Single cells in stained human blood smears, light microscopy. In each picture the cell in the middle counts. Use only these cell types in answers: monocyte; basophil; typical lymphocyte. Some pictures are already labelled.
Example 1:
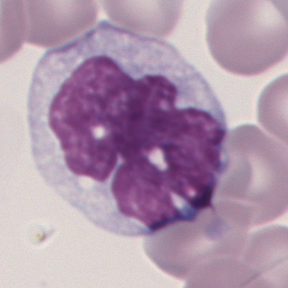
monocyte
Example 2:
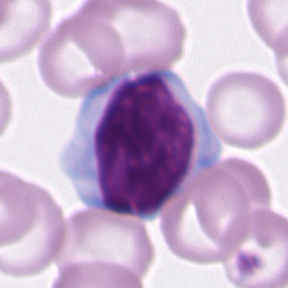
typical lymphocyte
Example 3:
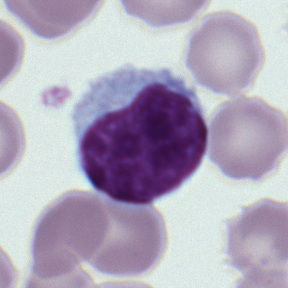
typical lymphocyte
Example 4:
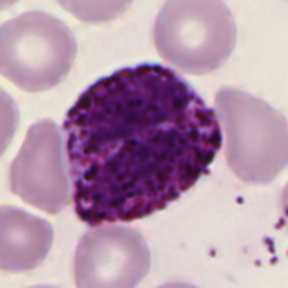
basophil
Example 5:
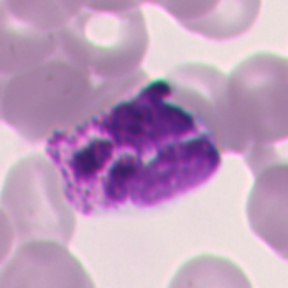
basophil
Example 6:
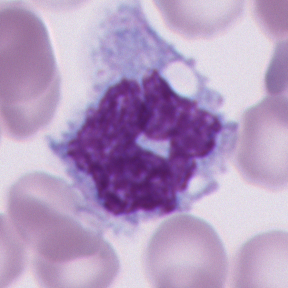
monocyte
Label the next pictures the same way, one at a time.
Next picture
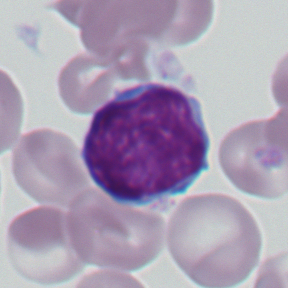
typical lymphocyte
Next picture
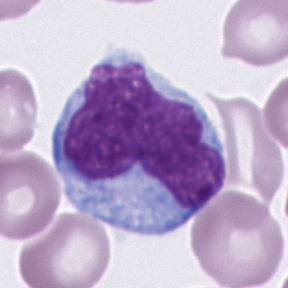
monocyte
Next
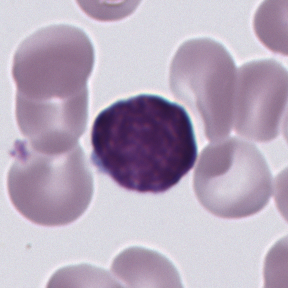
typical lymphocyte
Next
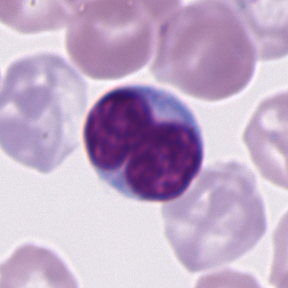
typical lymphocyte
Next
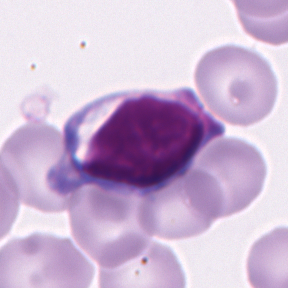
typical lymphocyte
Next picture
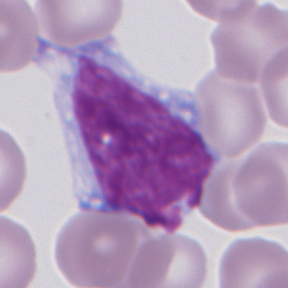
typical lymphocyte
